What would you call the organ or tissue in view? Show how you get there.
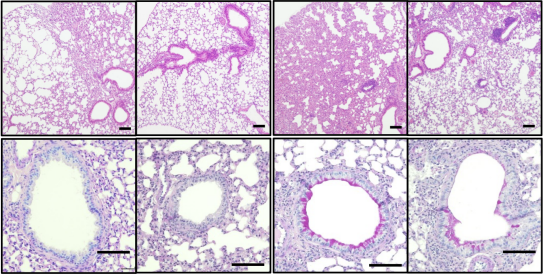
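Spongy network of thin-walled air spaces fills the low-power views. Tubular airways and vessels sit within the alveolar parenchyma.
Answer: lung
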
